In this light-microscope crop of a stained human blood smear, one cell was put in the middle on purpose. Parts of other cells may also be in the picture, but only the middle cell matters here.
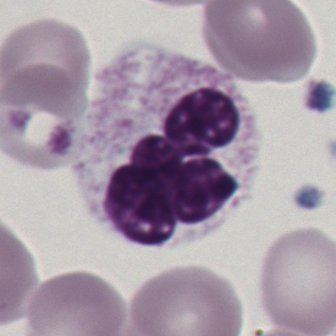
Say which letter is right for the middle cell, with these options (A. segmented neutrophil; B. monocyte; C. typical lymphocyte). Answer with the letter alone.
A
